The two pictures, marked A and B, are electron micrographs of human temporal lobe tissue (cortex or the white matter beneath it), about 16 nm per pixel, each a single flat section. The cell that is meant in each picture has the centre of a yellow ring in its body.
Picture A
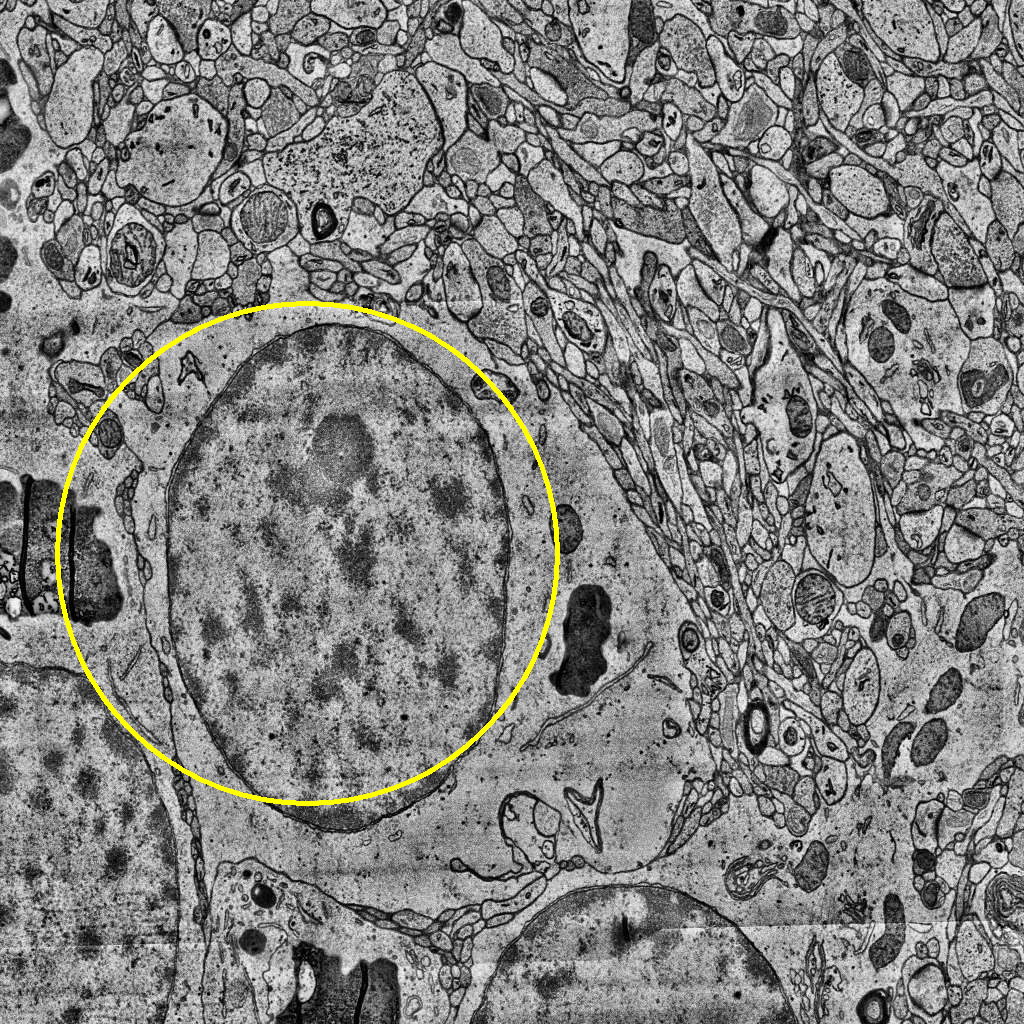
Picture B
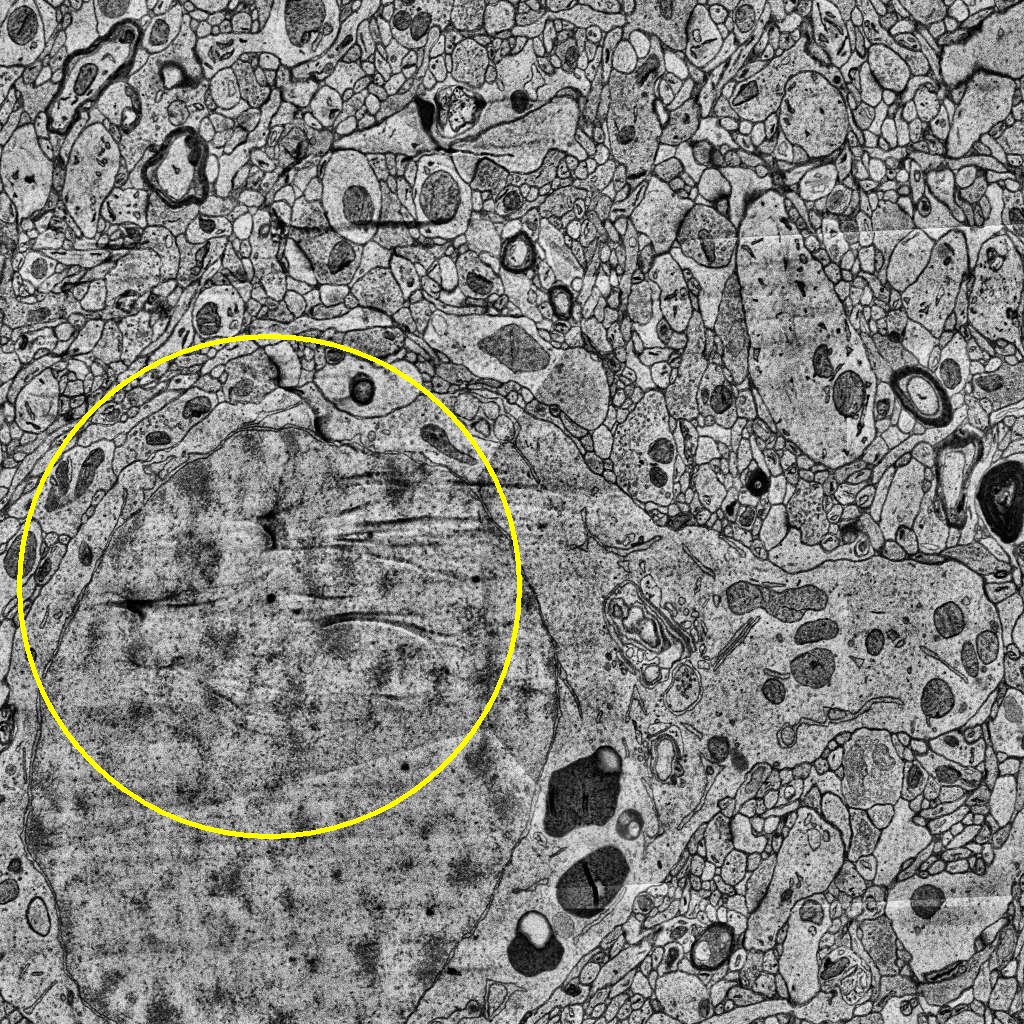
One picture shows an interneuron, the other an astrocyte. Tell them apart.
Picture B shows an interneuron, while picture A shows an astrocyte.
